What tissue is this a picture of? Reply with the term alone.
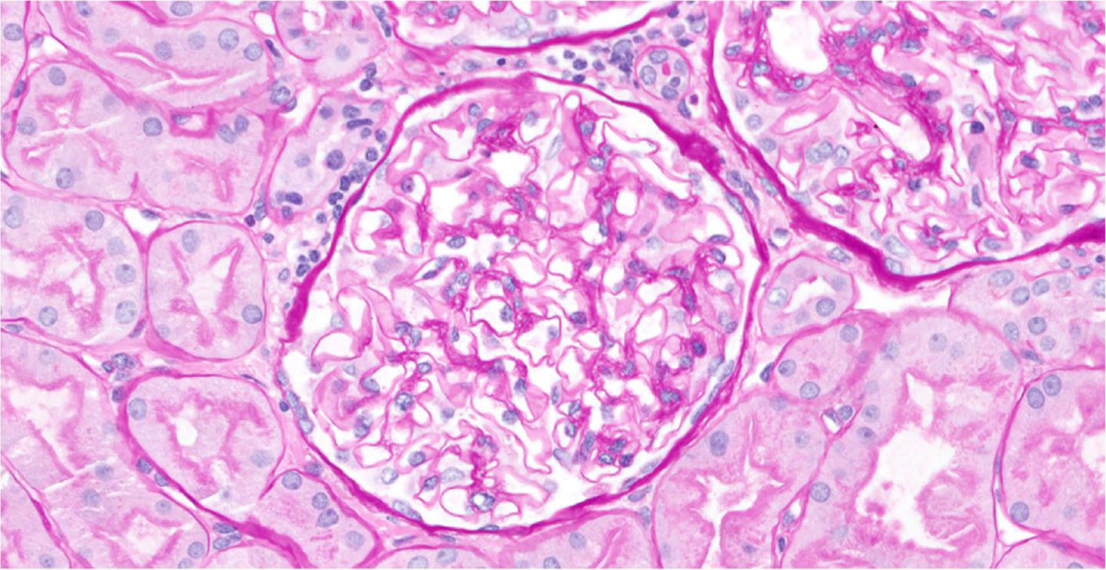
renal parenchyma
